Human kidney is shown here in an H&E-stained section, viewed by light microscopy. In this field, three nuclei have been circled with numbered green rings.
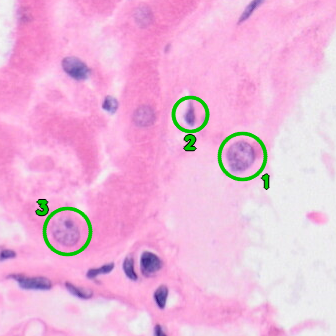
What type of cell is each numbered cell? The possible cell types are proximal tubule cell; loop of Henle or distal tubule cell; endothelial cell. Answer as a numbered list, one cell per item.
1. proximal tubule cell
2. endothelial cell
3. proximal tubule cell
